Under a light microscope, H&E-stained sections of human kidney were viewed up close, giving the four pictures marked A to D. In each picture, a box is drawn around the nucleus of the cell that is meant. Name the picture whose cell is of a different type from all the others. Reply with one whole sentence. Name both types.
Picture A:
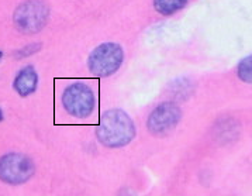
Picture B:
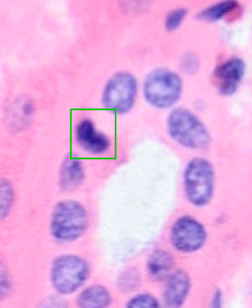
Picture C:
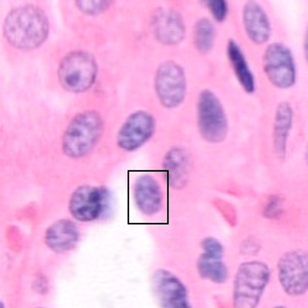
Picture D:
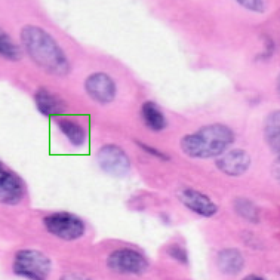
Picture B differs, because its cell is a collecting duct cell and the rest are “loop of Henle or distal tubule cells”.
